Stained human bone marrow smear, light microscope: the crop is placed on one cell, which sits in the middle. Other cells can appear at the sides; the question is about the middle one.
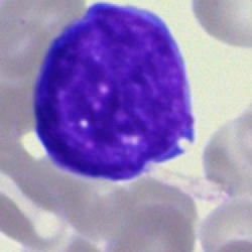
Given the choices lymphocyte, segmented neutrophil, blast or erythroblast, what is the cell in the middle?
blast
